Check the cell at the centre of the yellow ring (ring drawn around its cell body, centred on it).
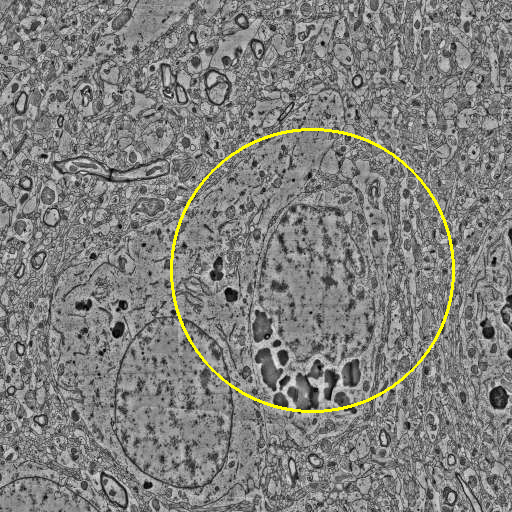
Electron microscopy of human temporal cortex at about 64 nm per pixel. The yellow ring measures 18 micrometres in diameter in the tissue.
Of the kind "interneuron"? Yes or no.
yes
